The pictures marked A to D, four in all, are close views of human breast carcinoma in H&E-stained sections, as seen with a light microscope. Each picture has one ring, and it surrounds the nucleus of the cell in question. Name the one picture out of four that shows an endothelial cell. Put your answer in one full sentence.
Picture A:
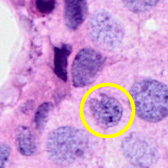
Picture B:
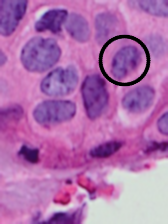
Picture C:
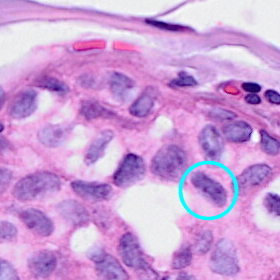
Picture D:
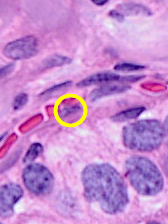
Picture D is the one that shows the endothelial cell.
